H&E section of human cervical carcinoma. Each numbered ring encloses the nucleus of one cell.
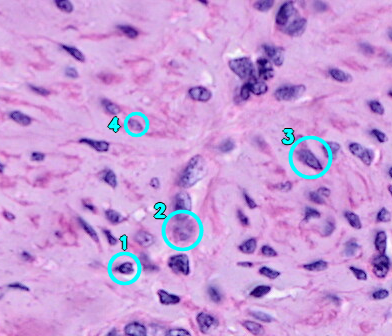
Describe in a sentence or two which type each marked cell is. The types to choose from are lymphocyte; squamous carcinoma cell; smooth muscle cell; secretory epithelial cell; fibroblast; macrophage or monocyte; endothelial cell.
Cell 1 is a lymphocyte. Cell 2 is an endothelial cell. Cells 3 and 4 are smooth muscle cells.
